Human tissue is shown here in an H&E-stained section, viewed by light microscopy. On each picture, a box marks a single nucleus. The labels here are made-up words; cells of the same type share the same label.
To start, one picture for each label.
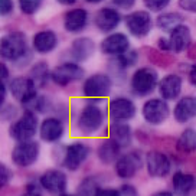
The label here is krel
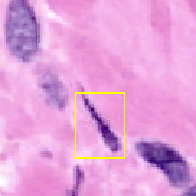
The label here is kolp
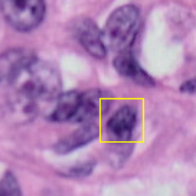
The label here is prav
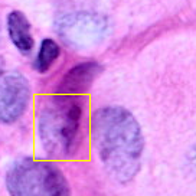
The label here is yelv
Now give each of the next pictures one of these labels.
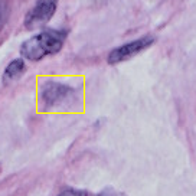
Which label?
kolp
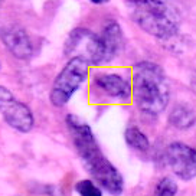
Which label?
prav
